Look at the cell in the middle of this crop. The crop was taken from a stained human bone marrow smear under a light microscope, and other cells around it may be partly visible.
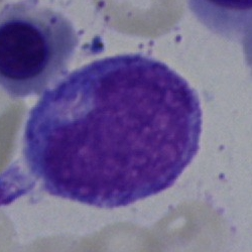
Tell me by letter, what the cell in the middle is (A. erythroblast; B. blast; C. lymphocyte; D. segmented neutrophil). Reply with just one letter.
B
